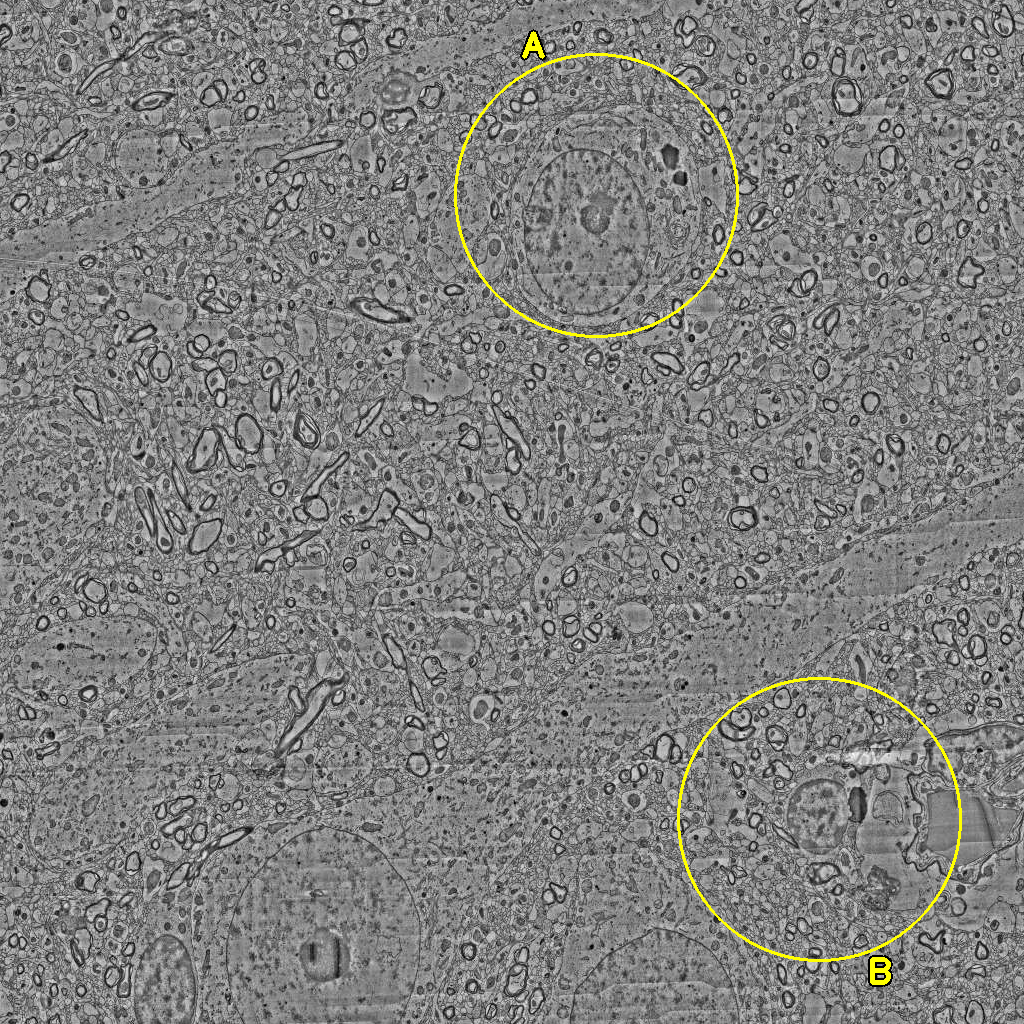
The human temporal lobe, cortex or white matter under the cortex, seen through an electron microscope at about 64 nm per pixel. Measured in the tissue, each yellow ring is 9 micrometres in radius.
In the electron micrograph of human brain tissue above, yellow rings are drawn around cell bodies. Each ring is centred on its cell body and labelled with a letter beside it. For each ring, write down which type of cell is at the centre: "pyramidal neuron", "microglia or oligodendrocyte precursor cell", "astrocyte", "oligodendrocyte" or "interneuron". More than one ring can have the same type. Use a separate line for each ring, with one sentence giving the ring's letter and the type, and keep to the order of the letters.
At the centre of ring A there is an interneuron.
At the centre of ring B there is an oligodendrocyte.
